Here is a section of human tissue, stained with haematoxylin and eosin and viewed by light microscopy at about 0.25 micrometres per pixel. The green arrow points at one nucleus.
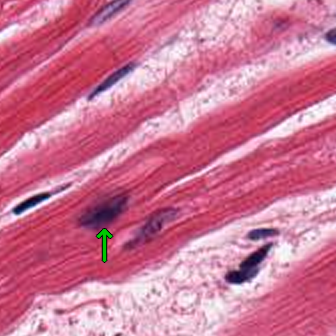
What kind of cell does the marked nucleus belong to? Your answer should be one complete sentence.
The marked nucleus, in this picture, belongs to a cardiomyocyte.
